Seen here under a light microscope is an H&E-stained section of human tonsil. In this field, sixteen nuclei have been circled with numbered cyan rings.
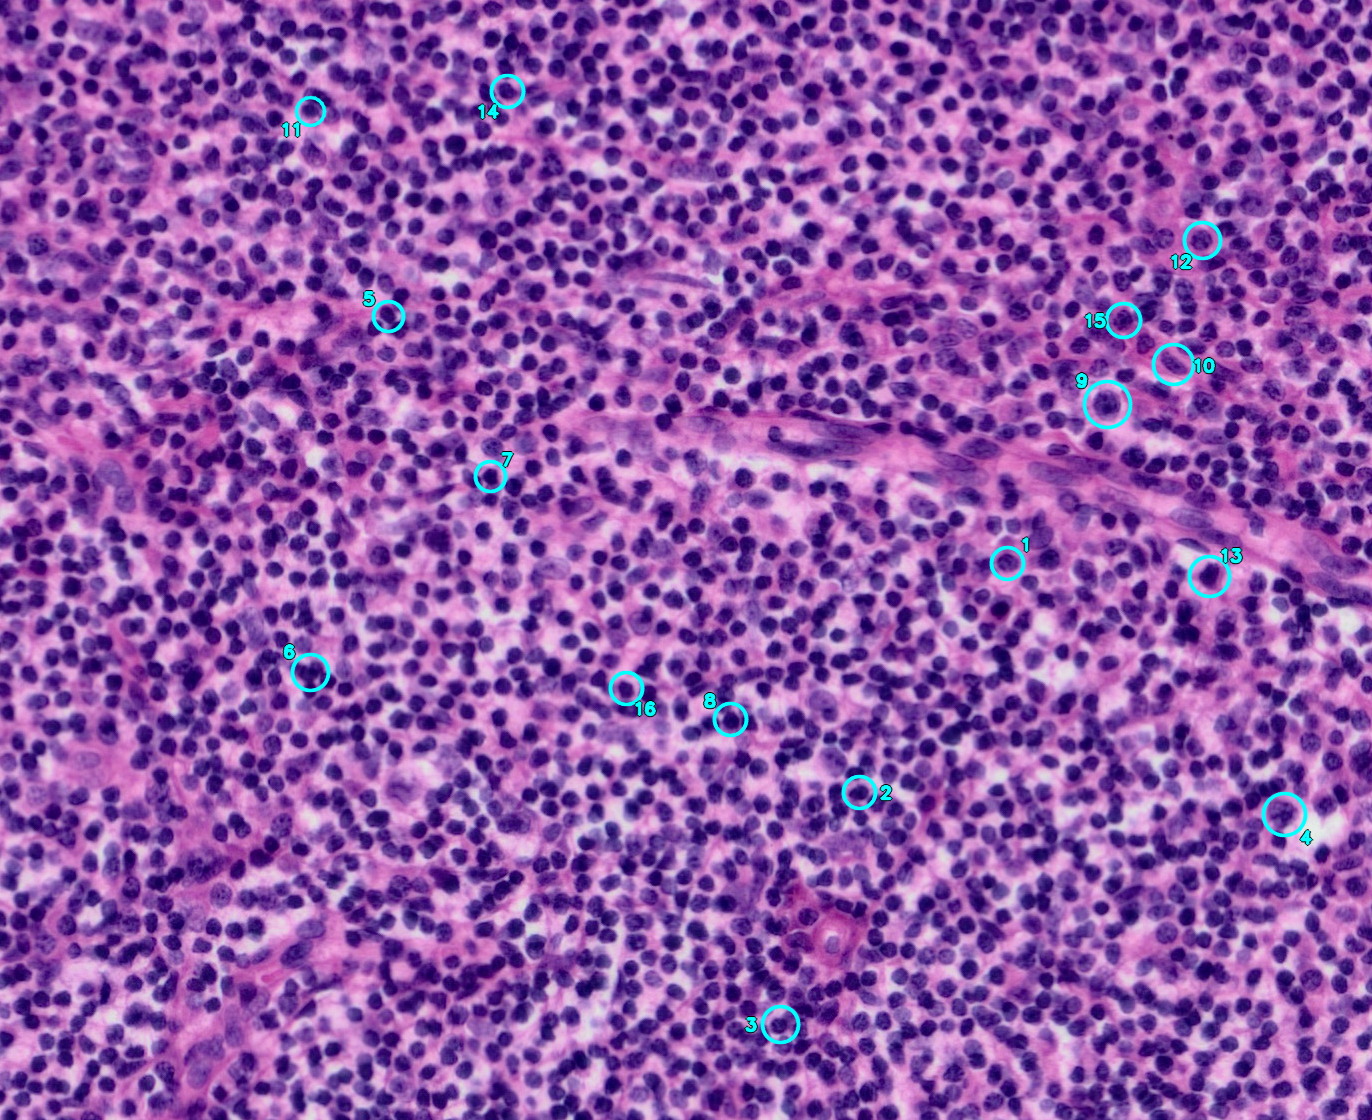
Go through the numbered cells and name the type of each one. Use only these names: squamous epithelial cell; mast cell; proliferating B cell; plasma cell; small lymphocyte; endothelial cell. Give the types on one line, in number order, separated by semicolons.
plasma cell; small lymphocyte; small lymphocyte; proliferating B cell; small lymphocyte; small lymphocyte; small lymphocyte; small lymphocyte; proliferating B cell; endothelial cell; small lymphocyte; plasma cell; proliferating B cell; small lymphocyte; plasma cell; small lymphocyte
